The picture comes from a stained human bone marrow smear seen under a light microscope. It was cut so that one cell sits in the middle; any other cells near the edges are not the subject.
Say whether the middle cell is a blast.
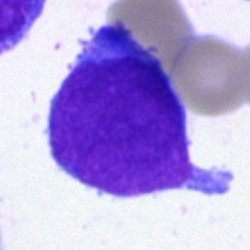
yes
